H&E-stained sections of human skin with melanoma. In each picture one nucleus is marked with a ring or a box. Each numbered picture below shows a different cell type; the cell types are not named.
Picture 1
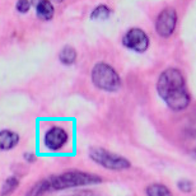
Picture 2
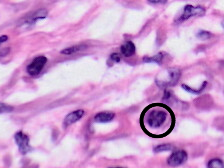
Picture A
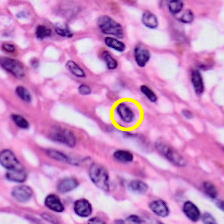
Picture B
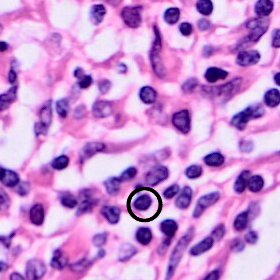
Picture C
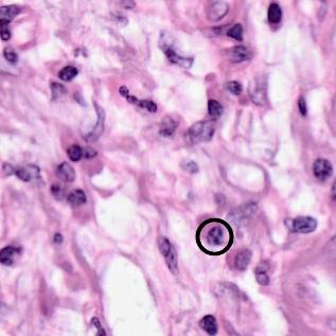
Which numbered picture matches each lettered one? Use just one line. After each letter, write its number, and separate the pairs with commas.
A 1, B 1, C 2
